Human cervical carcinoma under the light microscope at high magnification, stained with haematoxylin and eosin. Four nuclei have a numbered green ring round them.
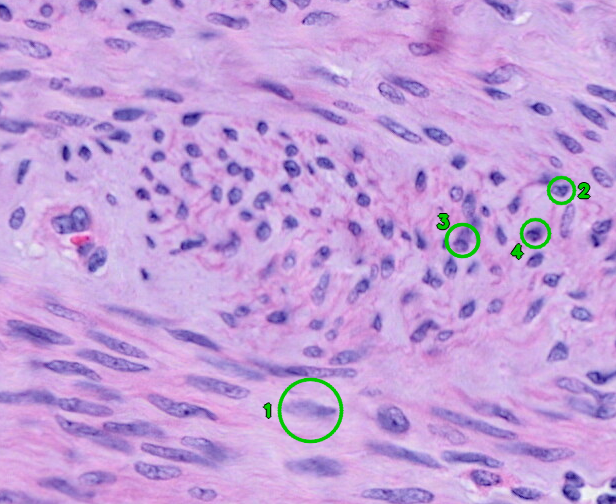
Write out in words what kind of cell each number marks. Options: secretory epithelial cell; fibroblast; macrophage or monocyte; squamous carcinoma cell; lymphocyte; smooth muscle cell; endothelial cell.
Cell 1 is a fibroblast. Cells 2, 3 and 4 are smooth muscle cells.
